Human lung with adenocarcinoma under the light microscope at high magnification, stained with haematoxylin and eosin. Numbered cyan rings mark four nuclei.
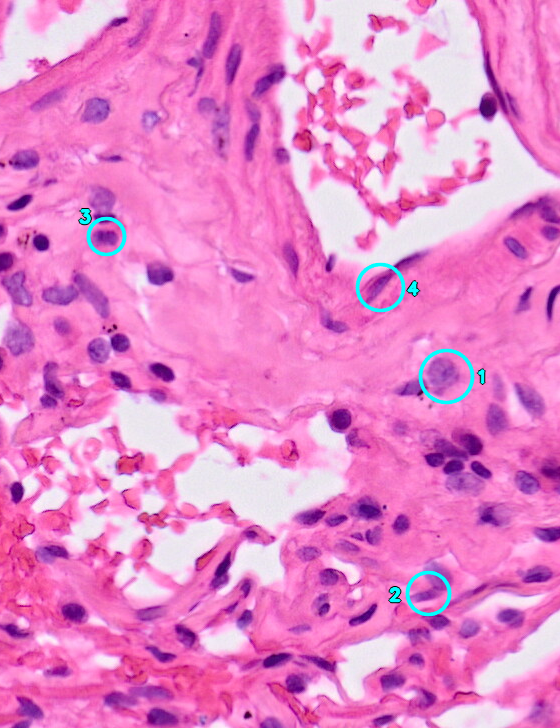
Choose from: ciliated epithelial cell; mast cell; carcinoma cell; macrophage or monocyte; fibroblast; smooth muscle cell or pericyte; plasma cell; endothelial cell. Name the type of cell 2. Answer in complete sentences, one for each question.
The cell referenced by the number 2 is an endothelial cell in this field.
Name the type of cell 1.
Belonging to a fibroblast is the nucleus that carries the number 1.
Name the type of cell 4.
The cell marked with the number 4 is a smooth muscle cell or pericyte.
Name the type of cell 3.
Cell number 3 in this section is a mast cell.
